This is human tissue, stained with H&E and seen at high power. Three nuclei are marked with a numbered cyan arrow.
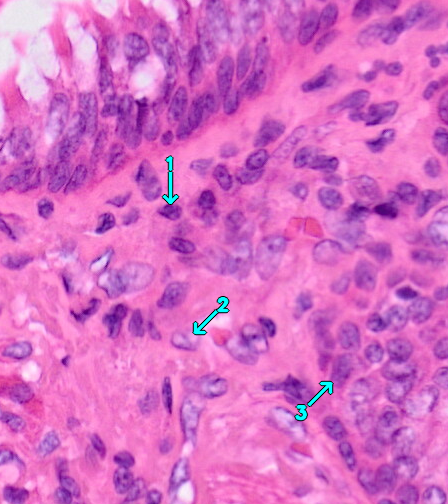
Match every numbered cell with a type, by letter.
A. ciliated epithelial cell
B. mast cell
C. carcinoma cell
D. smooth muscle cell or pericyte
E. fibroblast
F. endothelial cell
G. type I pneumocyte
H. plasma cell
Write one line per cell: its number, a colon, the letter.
1: H
2: F
3: A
